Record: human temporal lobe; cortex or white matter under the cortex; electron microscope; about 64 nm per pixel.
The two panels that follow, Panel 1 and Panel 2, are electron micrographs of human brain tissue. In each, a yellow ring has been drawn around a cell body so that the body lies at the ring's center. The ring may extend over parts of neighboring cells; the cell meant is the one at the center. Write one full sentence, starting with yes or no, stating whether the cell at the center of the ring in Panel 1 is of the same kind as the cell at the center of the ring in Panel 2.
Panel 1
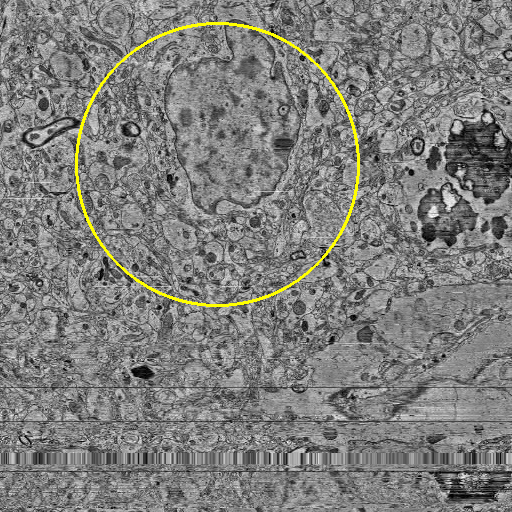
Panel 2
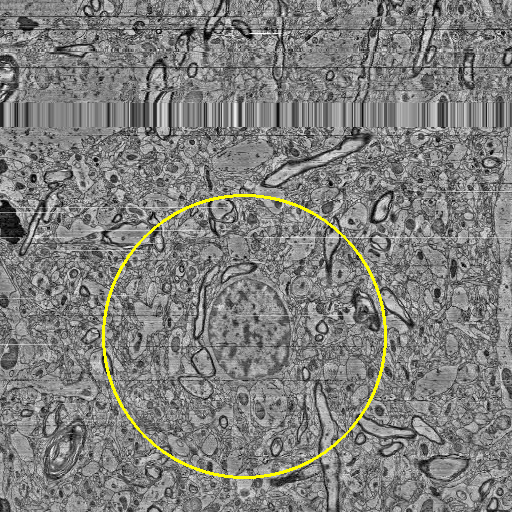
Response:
No, the cells in the two panels are of two kinds.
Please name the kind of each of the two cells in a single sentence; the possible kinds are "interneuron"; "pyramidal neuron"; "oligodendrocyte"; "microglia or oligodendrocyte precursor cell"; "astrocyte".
In the first picture the ring is centred on a microglial cell or oligodendrocyte precursor cell, and in the second on an oligodendrocyte.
